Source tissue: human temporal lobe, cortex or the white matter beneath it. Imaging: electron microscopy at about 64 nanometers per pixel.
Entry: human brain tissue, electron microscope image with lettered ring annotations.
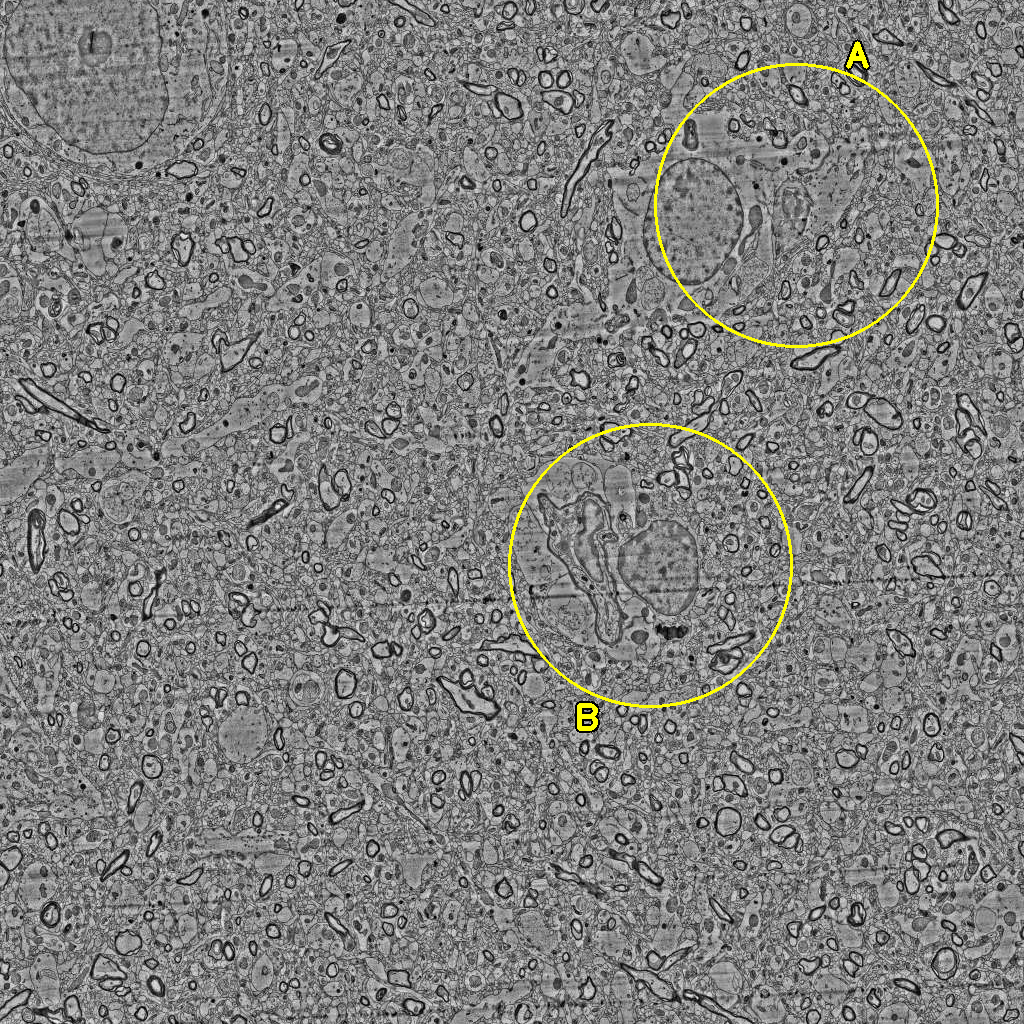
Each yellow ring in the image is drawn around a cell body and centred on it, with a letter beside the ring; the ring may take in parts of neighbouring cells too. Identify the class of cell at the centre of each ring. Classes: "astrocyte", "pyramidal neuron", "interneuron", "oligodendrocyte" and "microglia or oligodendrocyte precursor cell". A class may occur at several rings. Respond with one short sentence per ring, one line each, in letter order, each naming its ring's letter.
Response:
Ring A holds an oligodendrocyte at its centre.
Ring B holds an oligodendrocyte at its centre.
